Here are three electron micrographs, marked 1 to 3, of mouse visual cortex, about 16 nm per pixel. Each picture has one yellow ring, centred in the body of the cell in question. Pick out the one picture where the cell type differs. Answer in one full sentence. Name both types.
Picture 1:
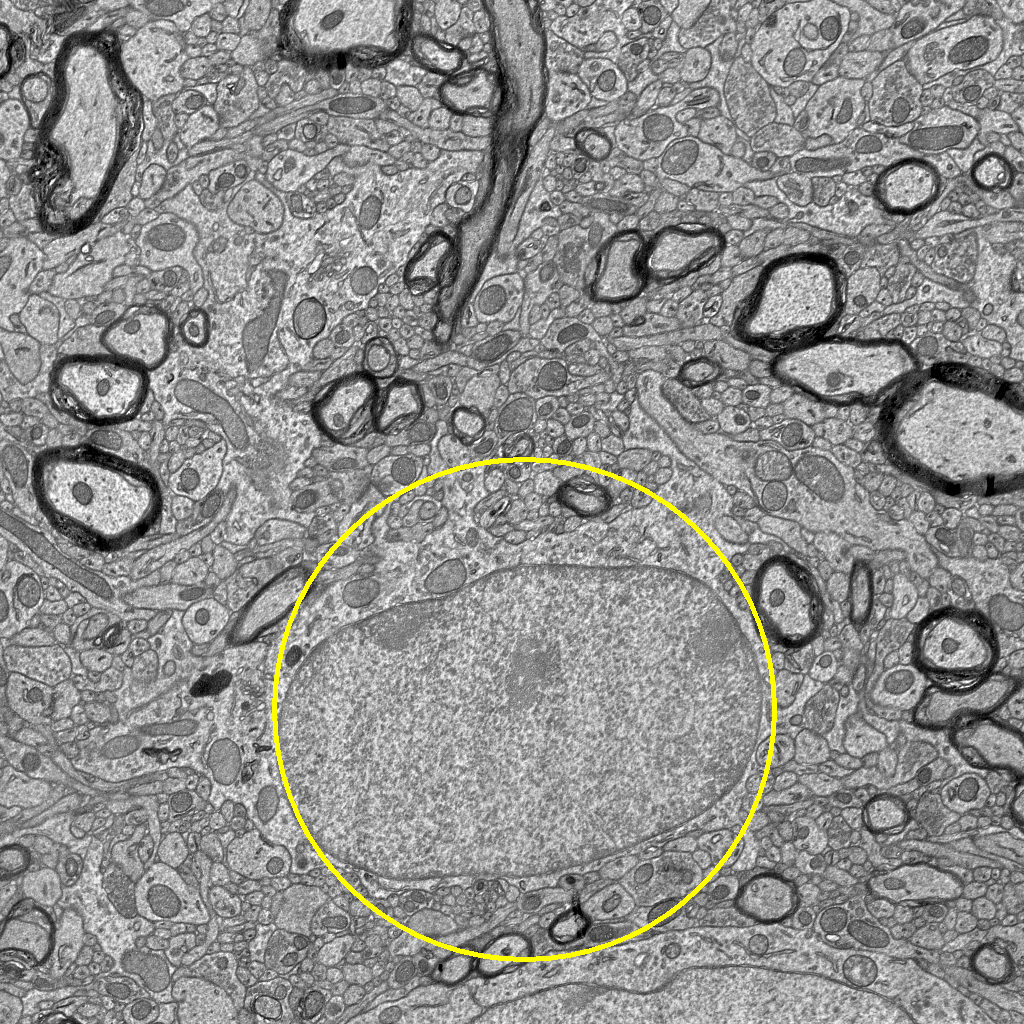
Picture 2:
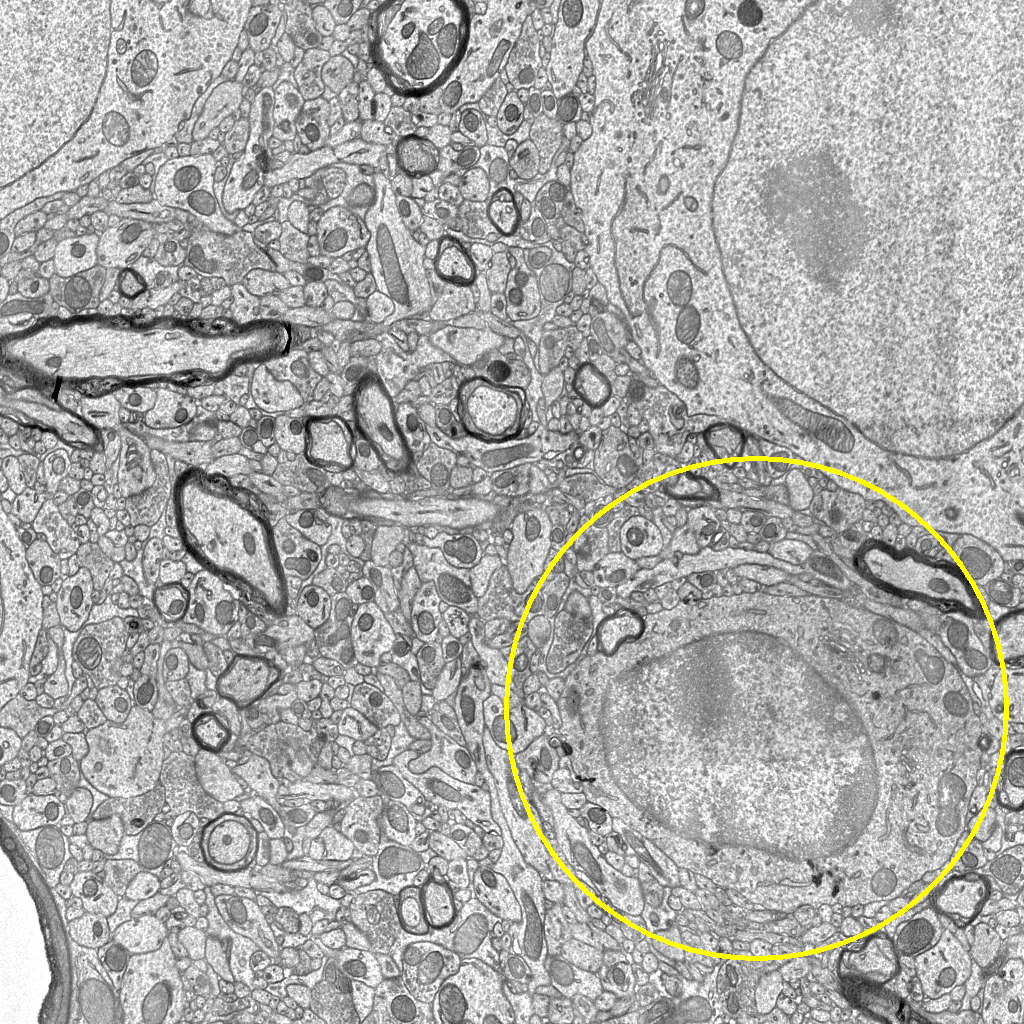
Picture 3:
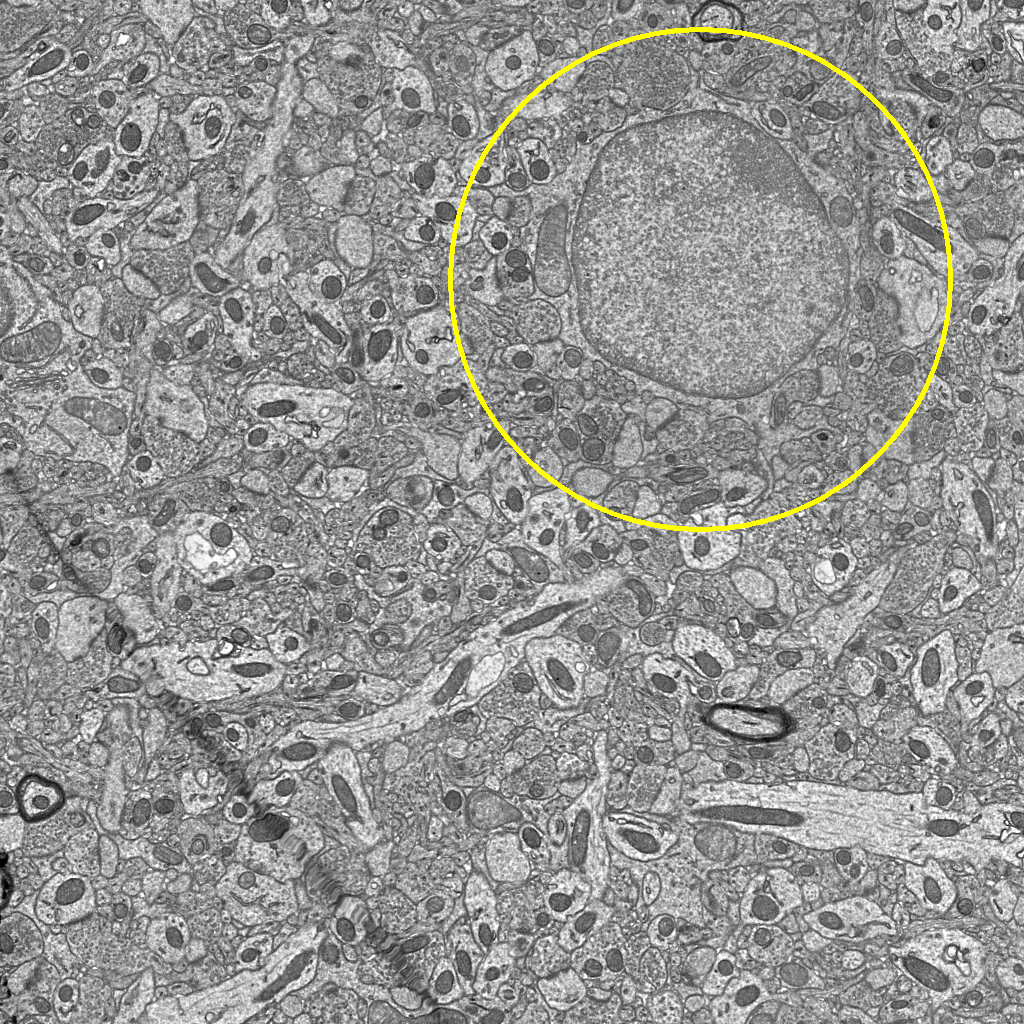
Picture 2 differs, because its cell is an oligodendrocyte and the rest are astrocytes.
